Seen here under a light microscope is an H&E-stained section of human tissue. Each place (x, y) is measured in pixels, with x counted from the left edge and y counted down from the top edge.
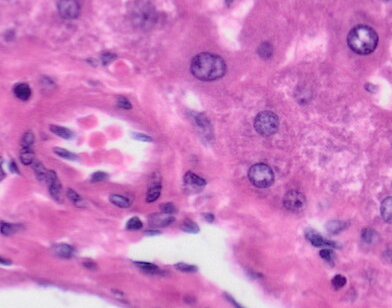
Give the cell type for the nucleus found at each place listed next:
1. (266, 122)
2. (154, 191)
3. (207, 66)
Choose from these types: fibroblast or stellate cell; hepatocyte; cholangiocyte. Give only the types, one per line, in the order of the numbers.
hepatocyte
fibroblast or stellate cell
hepatocyte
